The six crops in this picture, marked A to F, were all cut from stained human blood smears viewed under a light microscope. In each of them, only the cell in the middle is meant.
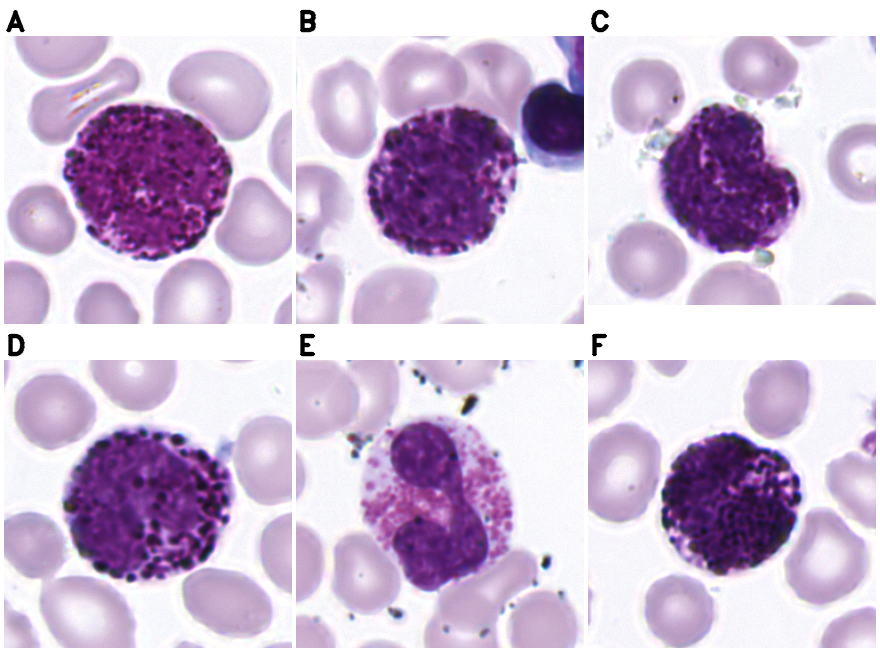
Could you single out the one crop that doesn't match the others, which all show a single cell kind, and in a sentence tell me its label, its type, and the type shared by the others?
For this set, crop E is an eosinophil, and all the rest are basophils.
